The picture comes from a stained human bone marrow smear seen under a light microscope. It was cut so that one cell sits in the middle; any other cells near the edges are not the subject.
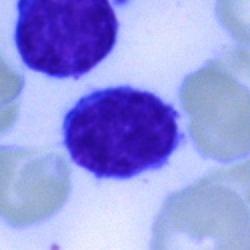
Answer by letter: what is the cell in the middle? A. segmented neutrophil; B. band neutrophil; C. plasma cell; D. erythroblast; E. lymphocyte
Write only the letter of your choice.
E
